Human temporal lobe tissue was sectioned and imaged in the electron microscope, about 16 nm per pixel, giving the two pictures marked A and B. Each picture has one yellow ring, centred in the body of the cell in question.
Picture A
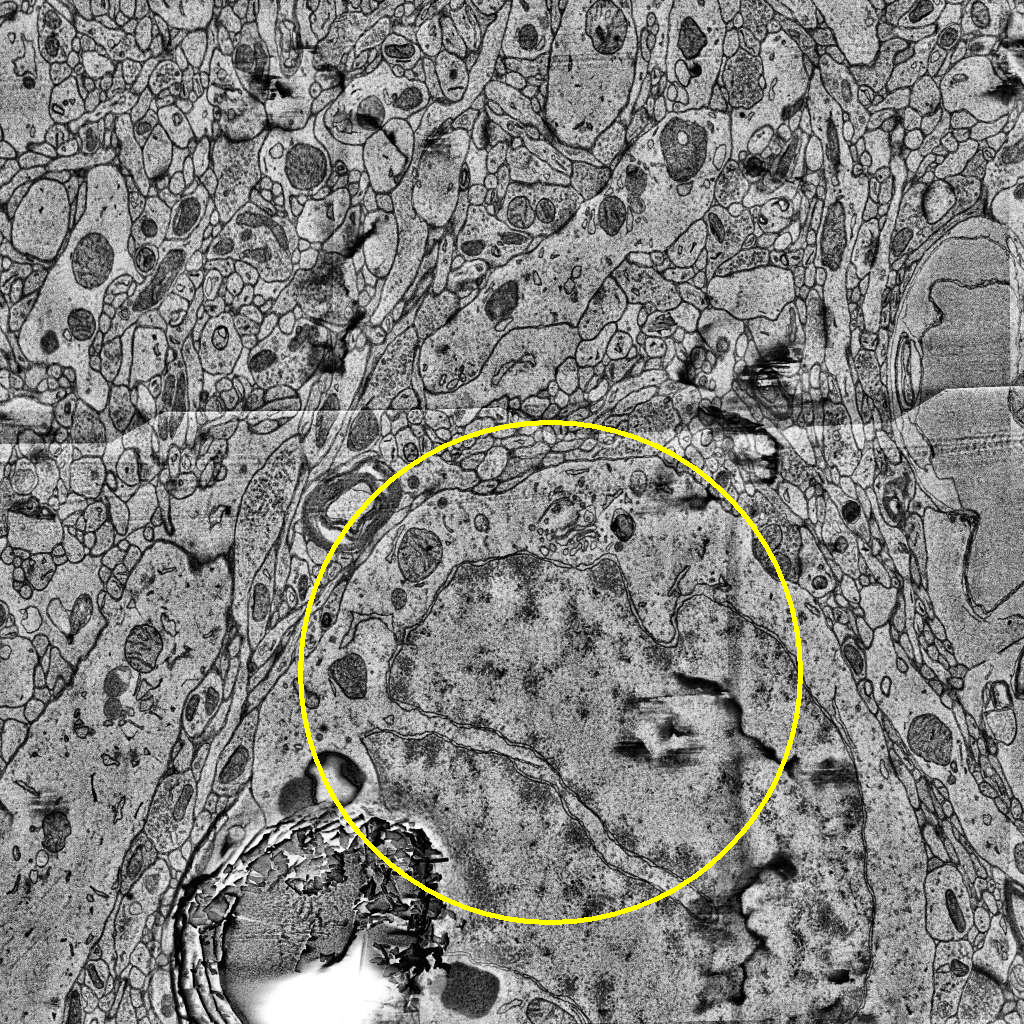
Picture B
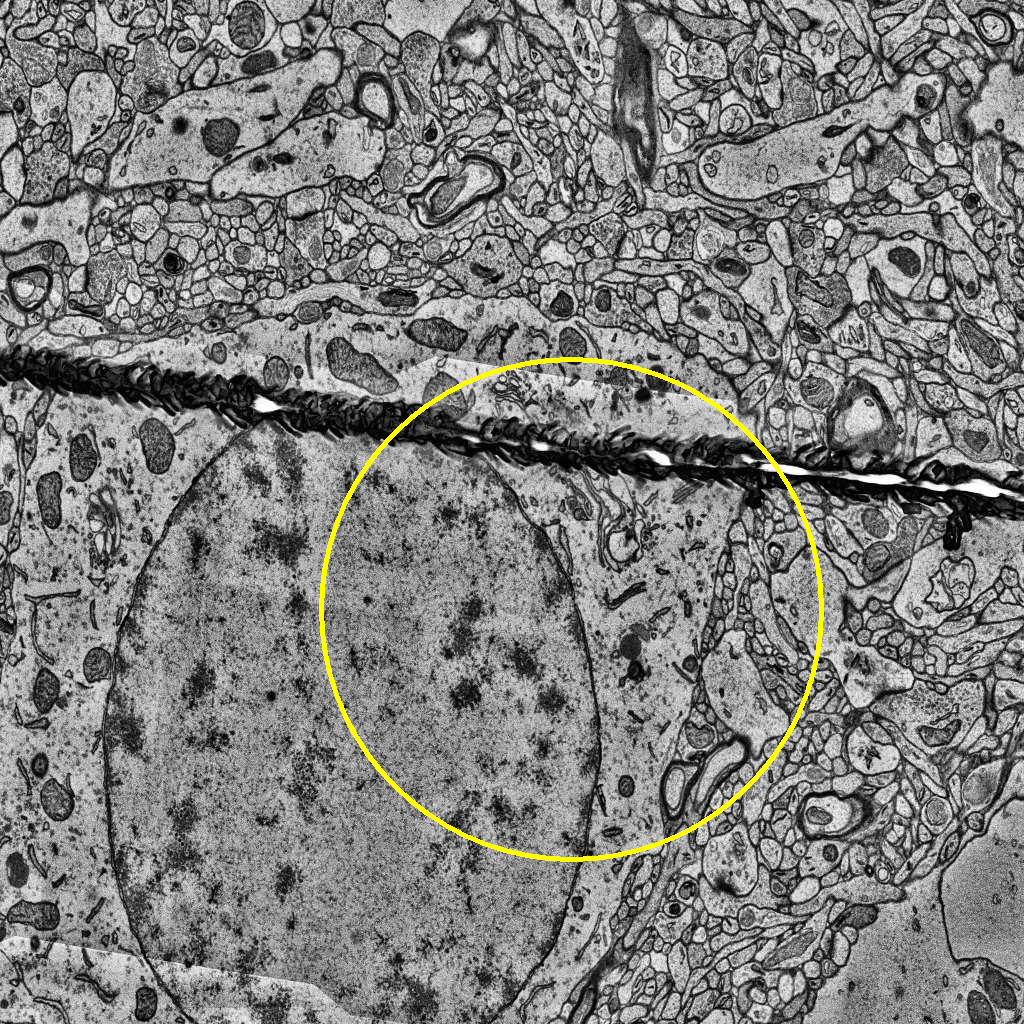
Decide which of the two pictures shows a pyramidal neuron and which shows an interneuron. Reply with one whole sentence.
Picture A is of an interneuron, and picture B is of a pyramidal neuron.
